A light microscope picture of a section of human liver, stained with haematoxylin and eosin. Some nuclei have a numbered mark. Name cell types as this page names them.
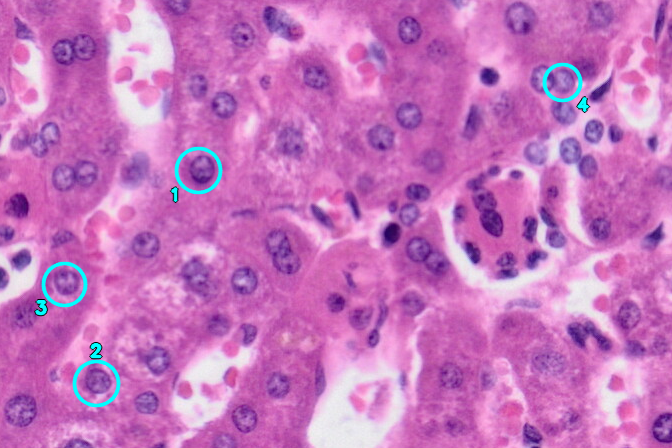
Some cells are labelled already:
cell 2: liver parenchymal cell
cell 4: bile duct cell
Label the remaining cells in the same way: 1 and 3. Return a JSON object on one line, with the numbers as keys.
{"1": "liver parenchymal cell", "3": "liver parenchymal cell"}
